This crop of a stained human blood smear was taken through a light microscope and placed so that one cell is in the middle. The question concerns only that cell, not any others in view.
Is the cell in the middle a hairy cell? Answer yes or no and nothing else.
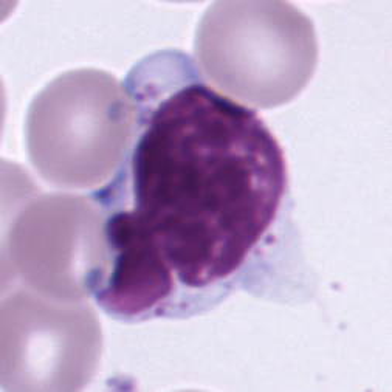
no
